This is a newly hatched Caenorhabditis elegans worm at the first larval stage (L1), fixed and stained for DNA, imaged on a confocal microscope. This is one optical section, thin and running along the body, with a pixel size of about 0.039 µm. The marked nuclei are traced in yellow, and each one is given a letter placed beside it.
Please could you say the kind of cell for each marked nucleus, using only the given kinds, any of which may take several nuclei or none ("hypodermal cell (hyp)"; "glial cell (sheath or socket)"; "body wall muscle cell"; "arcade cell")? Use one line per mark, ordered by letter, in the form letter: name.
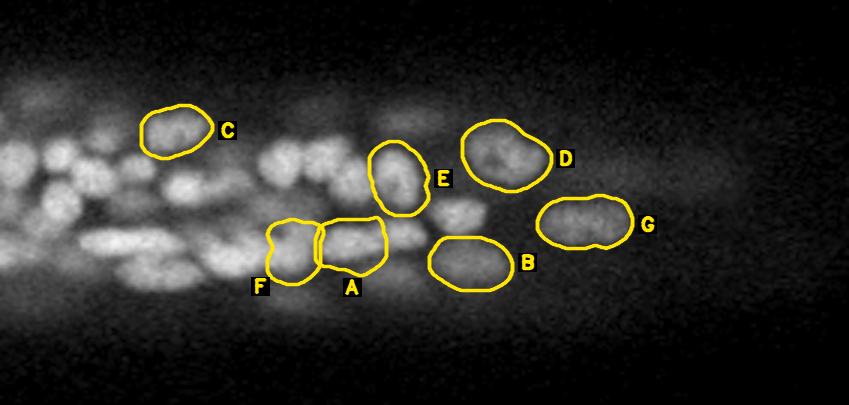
A: glial cell (sheath or socket)
B: body wall muscle cell
C: body wall muscle cell
D: body wall muscle cell
E: arcade cell
F: arcade cell
G: hypodermal cell (hyp)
